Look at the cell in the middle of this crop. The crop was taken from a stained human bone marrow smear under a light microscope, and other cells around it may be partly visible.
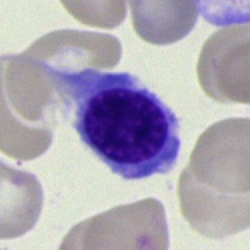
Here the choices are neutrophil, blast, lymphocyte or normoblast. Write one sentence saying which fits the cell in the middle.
The middle position in this crop is taken by a normoblast.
